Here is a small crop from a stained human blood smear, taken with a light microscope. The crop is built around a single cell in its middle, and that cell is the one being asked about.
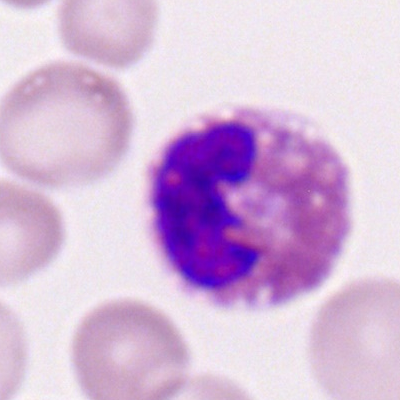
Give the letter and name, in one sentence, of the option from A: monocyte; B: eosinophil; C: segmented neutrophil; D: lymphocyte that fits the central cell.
The central cell of the crop is an eosinophil, which makes B the correct option.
